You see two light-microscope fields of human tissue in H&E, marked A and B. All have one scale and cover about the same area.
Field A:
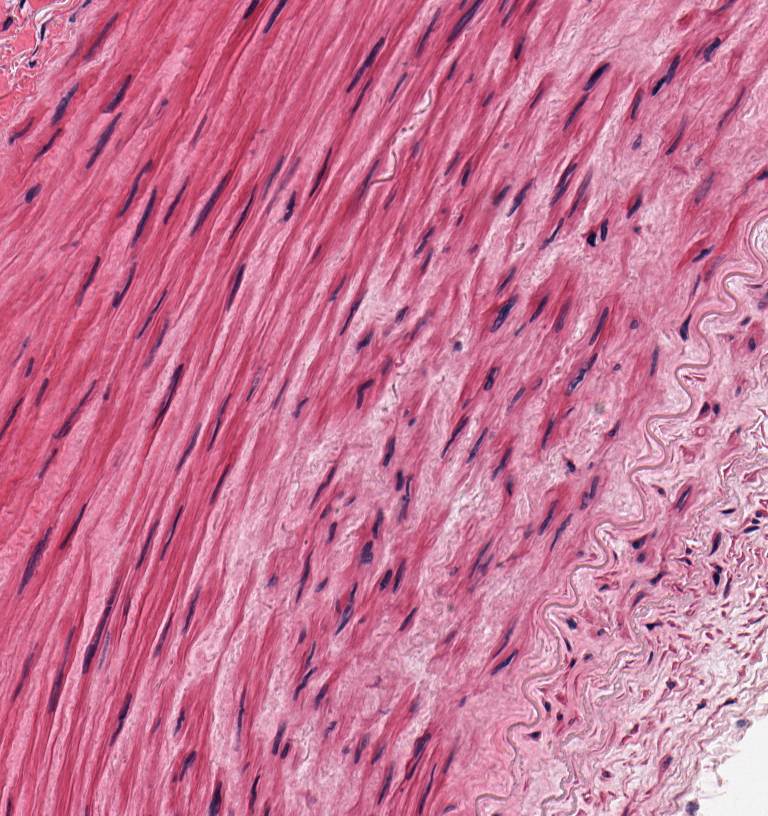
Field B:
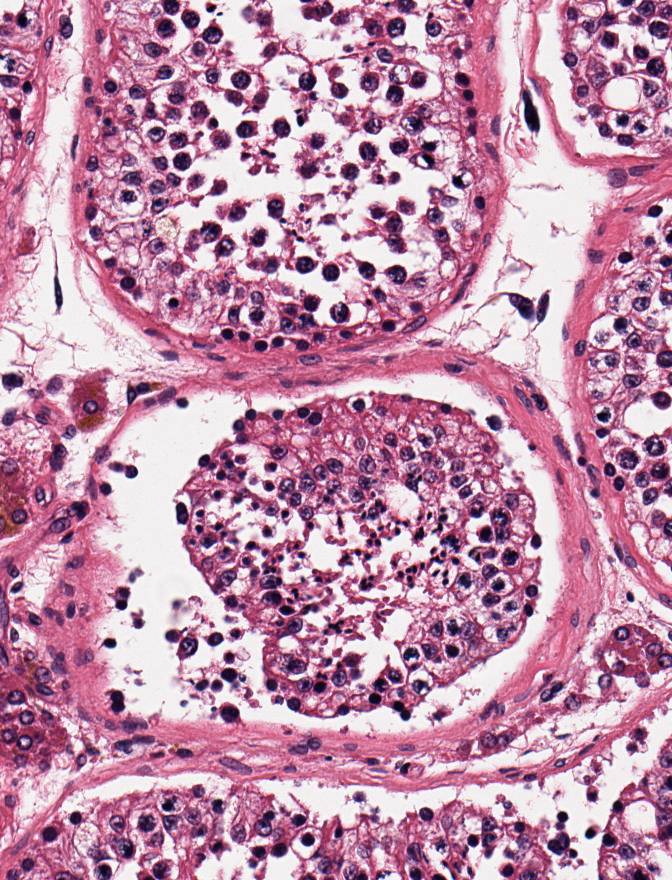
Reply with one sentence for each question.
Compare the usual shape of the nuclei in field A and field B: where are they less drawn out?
On the whole the nuclei of field B are rounder than those of field A.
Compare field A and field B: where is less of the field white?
It is field A that stained tissue fills more completely.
